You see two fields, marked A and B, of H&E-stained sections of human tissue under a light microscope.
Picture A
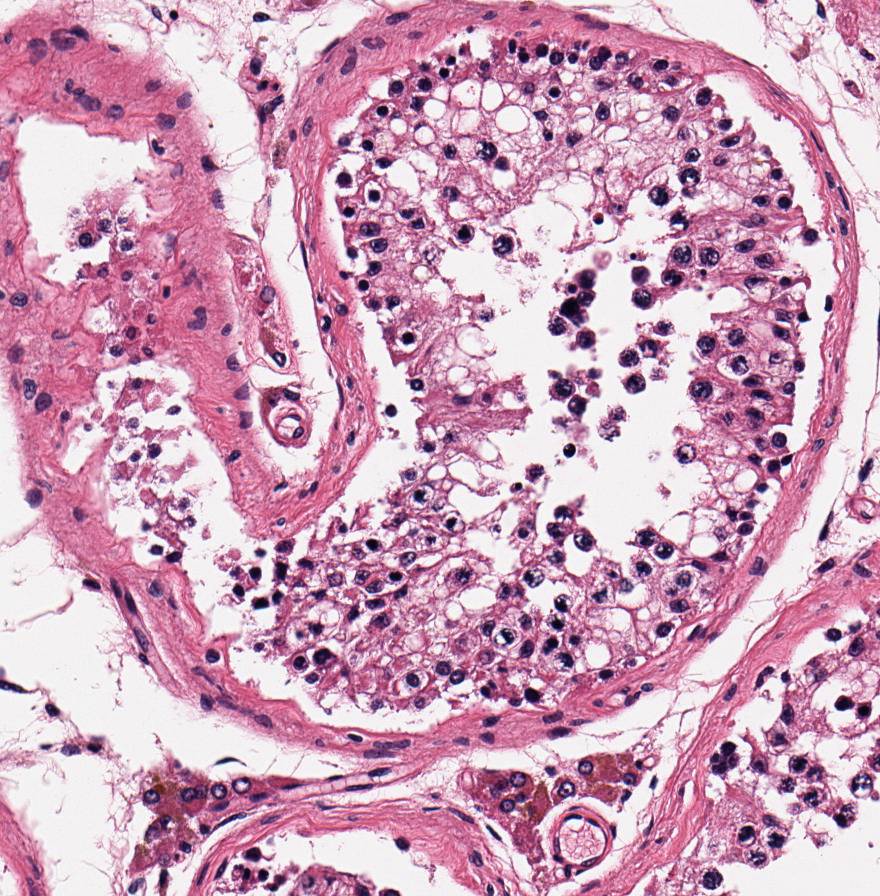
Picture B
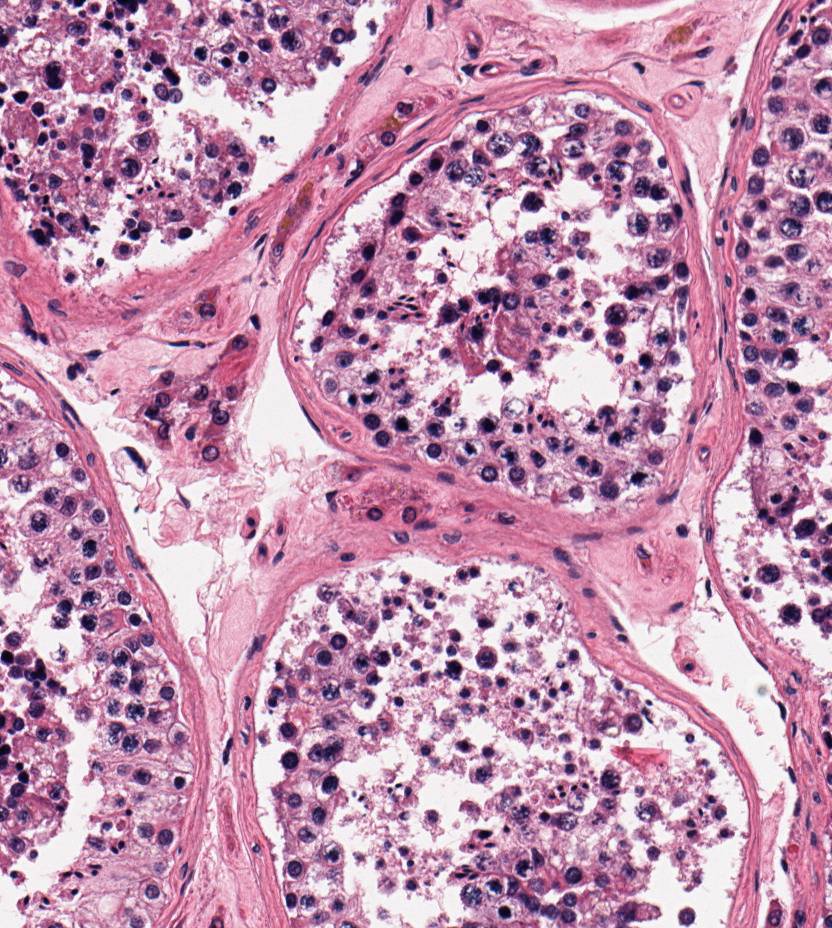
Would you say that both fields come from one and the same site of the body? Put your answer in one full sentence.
Yes, both come from the testis.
